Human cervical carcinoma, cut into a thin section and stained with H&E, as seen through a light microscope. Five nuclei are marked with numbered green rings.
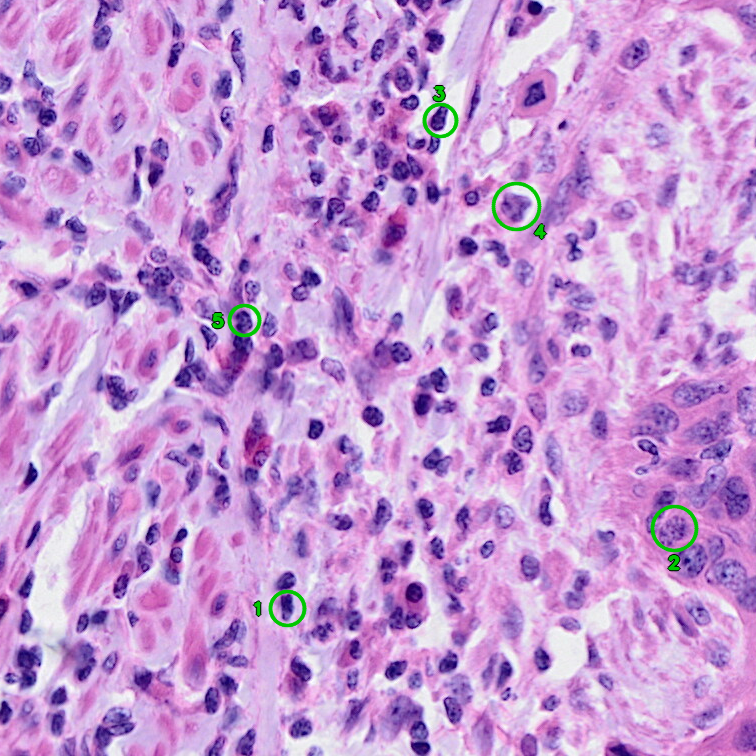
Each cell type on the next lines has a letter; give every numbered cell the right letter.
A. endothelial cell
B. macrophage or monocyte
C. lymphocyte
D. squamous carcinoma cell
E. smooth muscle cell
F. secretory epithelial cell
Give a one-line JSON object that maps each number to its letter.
{"1": "C", "2": "D", "3": "C", "4": "B", "5": "C"}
